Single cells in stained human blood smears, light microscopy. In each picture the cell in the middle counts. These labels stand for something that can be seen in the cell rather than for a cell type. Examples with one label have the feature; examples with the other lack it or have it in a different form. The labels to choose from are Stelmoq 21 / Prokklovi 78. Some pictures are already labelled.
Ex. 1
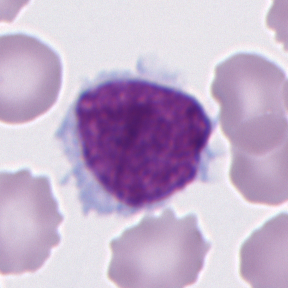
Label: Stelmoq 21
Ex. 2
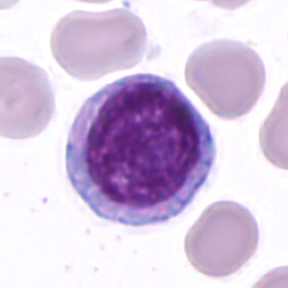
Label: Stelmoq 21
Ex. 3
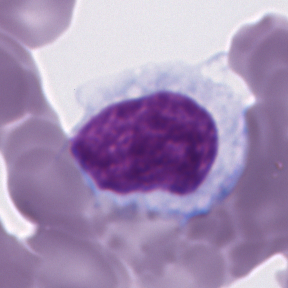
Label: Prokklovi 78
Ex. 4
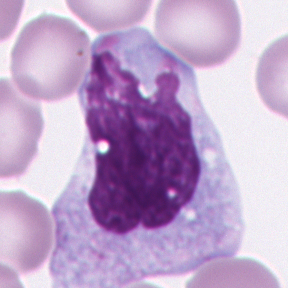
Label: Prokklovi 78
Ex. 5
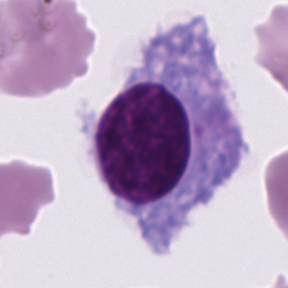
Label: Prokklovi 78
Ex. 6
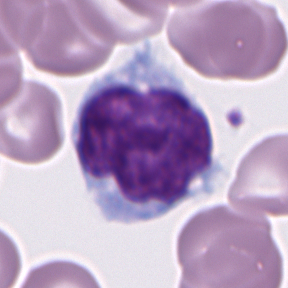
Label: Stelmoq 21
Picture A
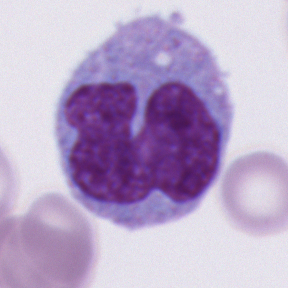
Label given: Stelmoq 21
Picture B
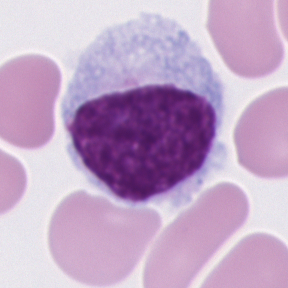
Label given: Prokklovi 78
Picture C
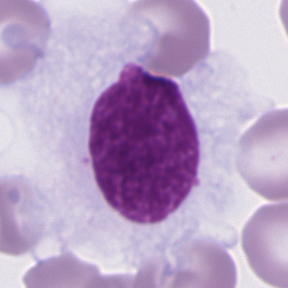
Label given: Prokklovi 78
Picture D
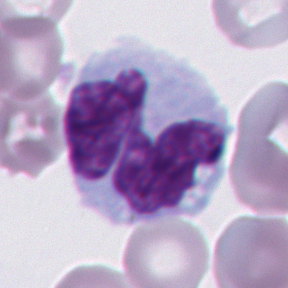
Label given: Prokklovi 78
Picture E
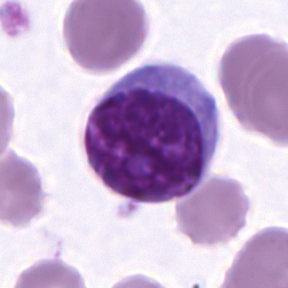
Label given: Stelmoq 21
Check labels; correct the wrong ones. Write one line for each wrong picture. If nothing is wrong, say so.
A: not Stelmoq 21 but Prokklovi 78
